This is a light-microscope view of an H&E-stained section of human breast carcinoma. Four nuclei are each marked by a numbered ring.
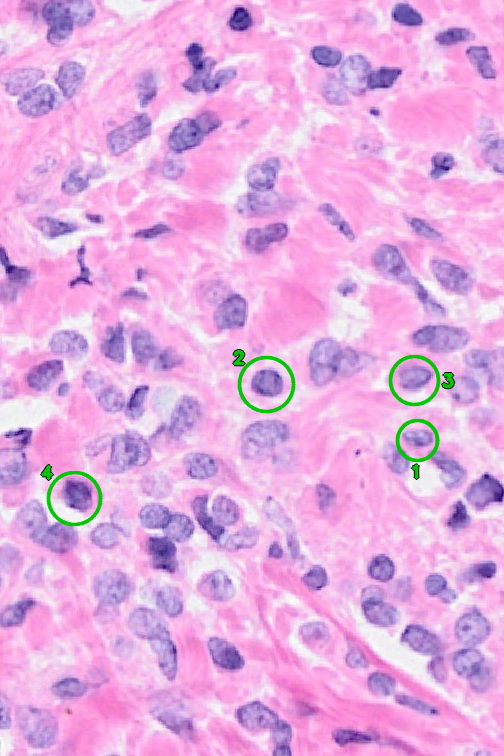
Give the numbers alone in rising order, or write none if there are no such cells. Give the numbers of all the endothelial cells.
1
